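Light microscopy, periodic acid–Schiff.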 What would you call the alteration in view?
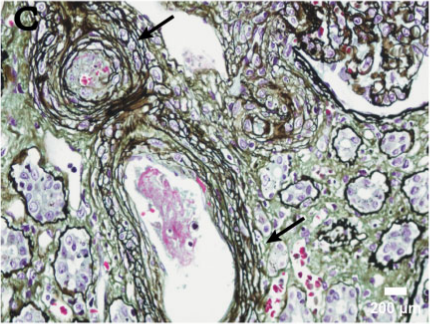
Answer: ‘onion skin’ appearance.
